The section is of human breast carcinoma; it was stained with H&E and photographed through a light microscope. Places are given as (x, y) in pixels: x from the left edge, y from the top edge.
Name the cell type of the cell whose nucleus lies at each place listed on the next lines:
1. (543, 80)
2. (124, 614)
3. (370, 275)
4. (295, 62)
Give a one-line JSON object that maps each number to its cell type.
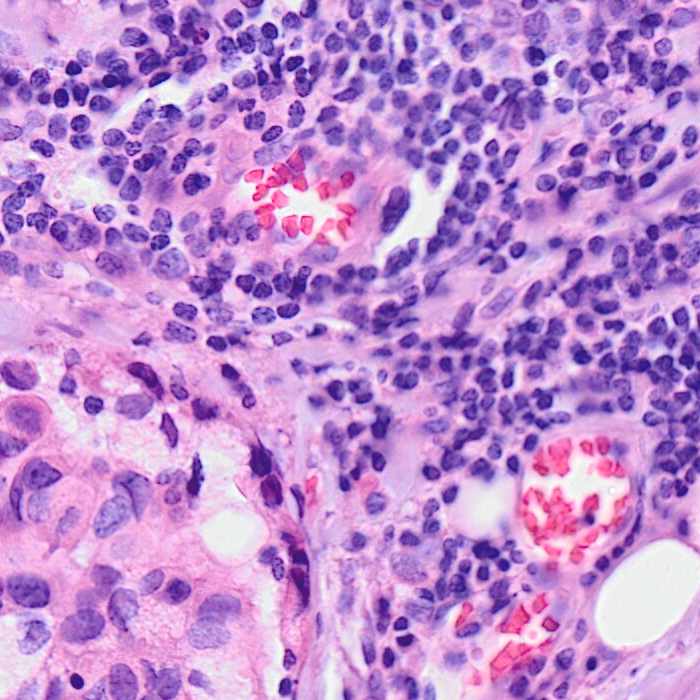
{"1": "lymphocyte", "2": "carcinoma cell", "3": "lymphocyte", "4": "lymphocyte"}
